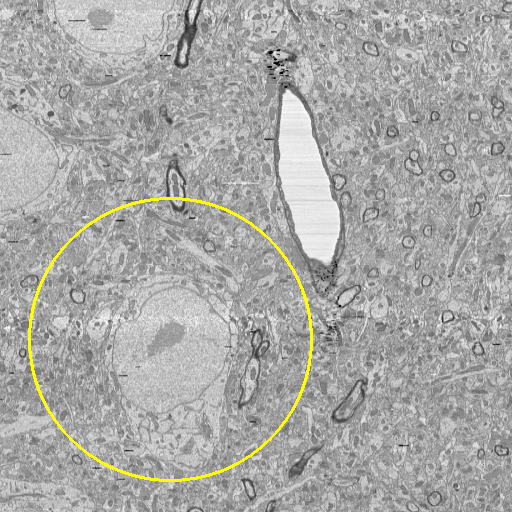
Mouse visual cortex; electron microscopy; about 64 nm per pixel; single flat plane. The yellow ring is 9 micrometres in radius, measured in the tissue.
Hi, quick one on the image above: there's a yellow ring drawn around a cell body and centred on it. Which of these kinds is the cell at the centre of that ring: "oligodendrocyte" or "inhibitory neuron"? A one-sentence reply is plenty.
The cell at the centre of the ring is an inhibitory neuron.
